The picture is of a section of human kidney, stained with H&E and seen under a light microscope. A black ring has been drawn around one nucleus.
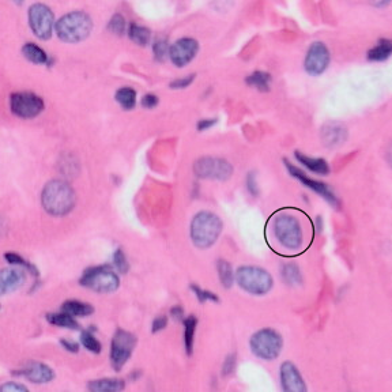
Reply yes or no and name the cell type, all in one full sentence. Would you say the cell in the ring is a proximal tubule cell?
No, instead of a proximal tubule cell, the cell in the ring is a collecting duct cell.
